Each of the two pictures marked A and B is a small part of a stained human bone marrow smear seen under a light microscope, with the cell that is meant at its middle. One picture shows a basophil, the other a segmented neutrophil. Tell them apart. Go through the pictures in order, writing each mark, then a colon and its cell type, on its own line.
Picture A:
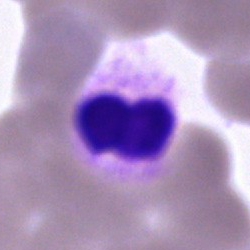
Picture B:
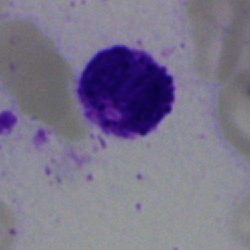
A: segmented neutrophil
B: basophil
